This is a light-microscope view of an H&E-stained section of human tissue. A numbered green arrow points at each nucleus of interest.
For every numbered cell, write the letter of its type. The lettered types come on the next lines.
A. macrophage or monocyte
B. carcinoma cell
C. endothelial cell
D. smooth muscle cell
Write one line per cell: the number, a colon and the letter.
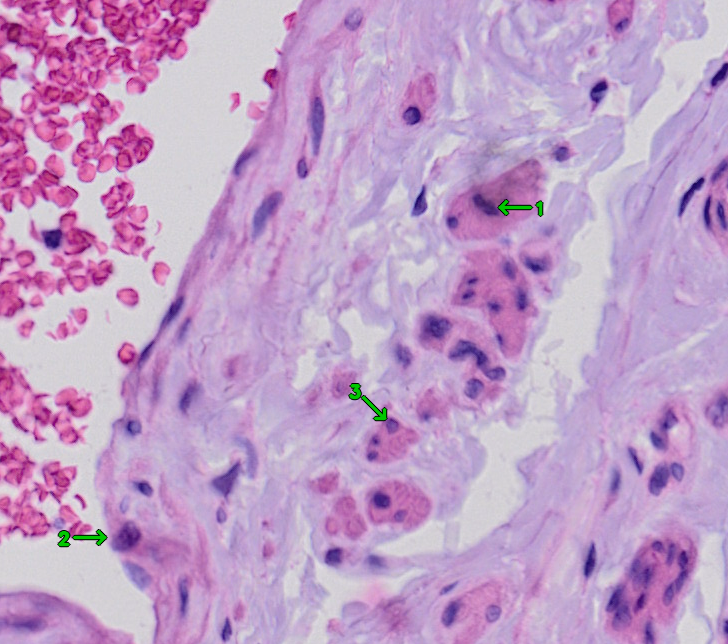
1: D
2: C
3: D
